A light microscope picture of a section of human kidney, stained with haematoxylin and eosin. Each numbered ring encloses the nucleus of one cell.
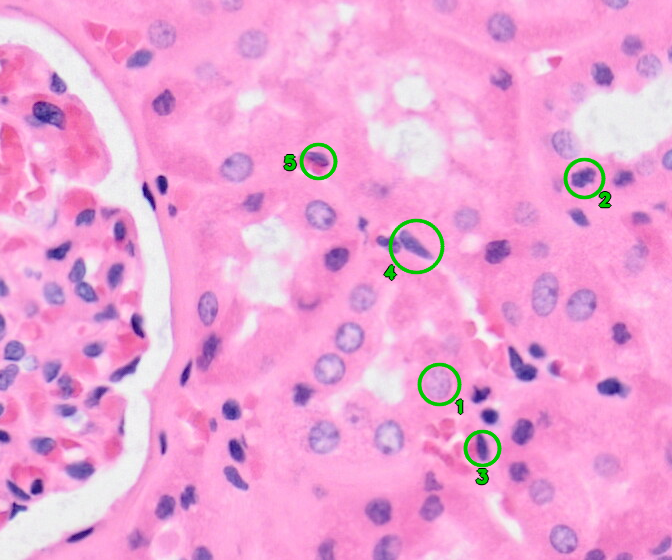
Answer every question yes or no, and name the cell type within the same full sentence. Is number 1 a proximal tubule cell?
Yes, the one numbered 1 is a proximal tubule cell.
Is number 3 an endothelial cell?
Yes, cell number 3 is classified as an endothelial cell.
